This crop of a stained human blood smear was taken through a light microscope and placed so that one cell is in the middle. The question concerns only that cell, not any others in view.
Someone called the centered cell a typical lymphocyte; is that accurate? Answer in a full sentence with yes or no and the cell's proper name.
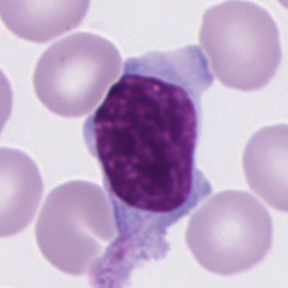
No, in this crop the central cell is a large granular lymphocyte instead of a typical lymphocyte.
